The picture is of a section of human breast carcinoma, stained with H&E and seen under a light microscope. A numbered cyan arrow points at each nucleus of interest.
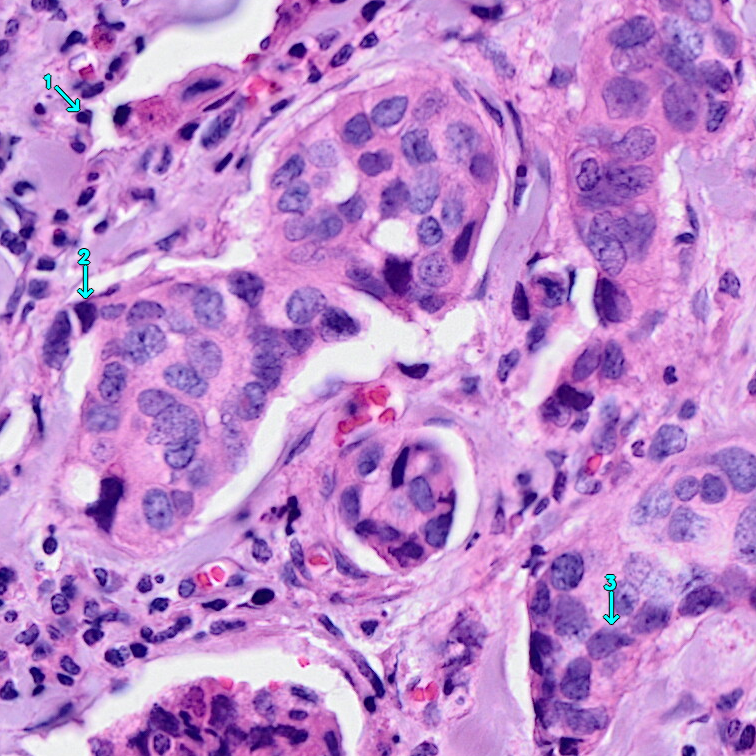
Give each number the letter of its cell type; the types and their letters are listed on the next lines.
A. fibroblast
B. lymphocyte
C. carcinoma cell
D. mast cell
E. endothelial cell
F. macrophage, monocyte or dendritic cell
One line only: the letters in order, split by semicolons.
B; C; C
